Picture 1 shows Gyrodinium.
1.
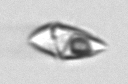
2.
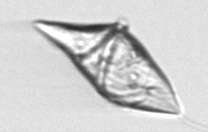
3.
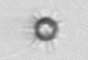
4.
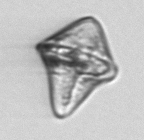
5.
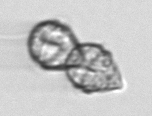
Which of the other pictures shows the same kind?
Picture 2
